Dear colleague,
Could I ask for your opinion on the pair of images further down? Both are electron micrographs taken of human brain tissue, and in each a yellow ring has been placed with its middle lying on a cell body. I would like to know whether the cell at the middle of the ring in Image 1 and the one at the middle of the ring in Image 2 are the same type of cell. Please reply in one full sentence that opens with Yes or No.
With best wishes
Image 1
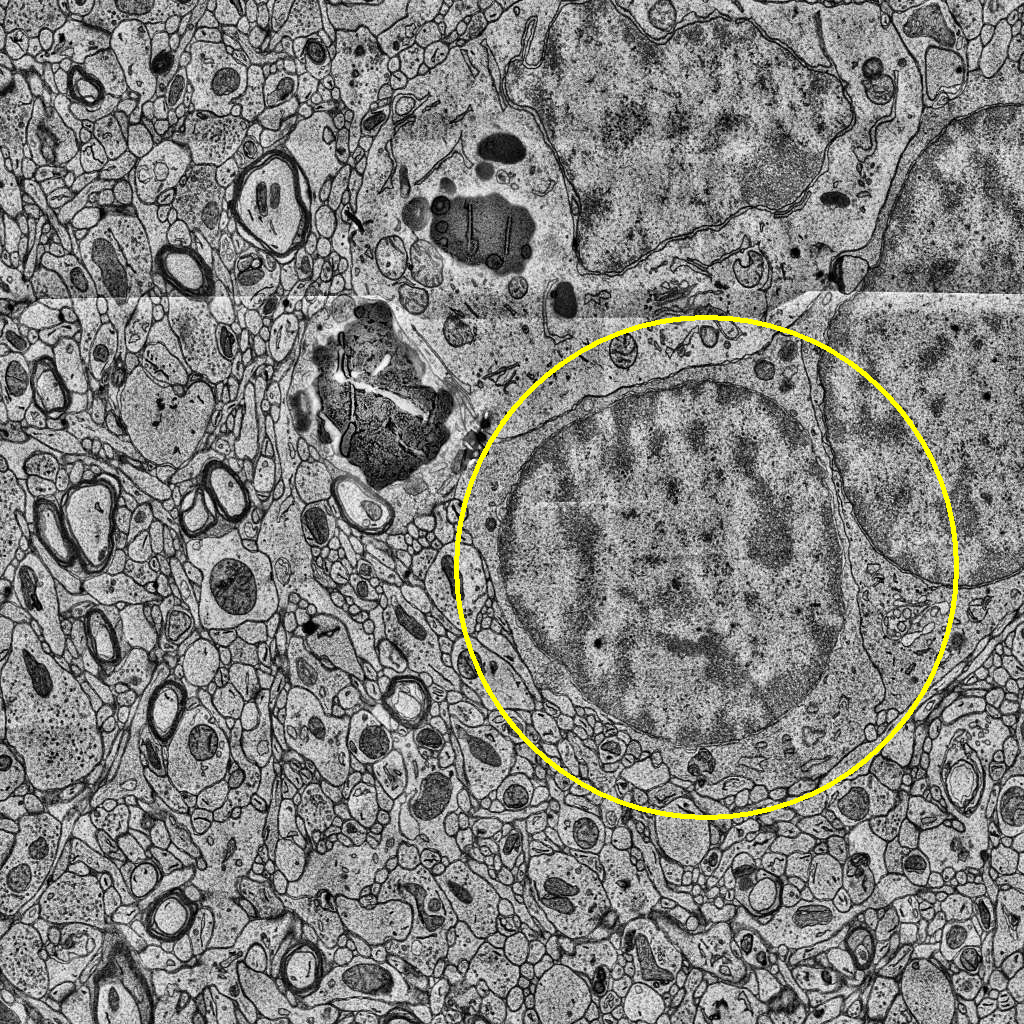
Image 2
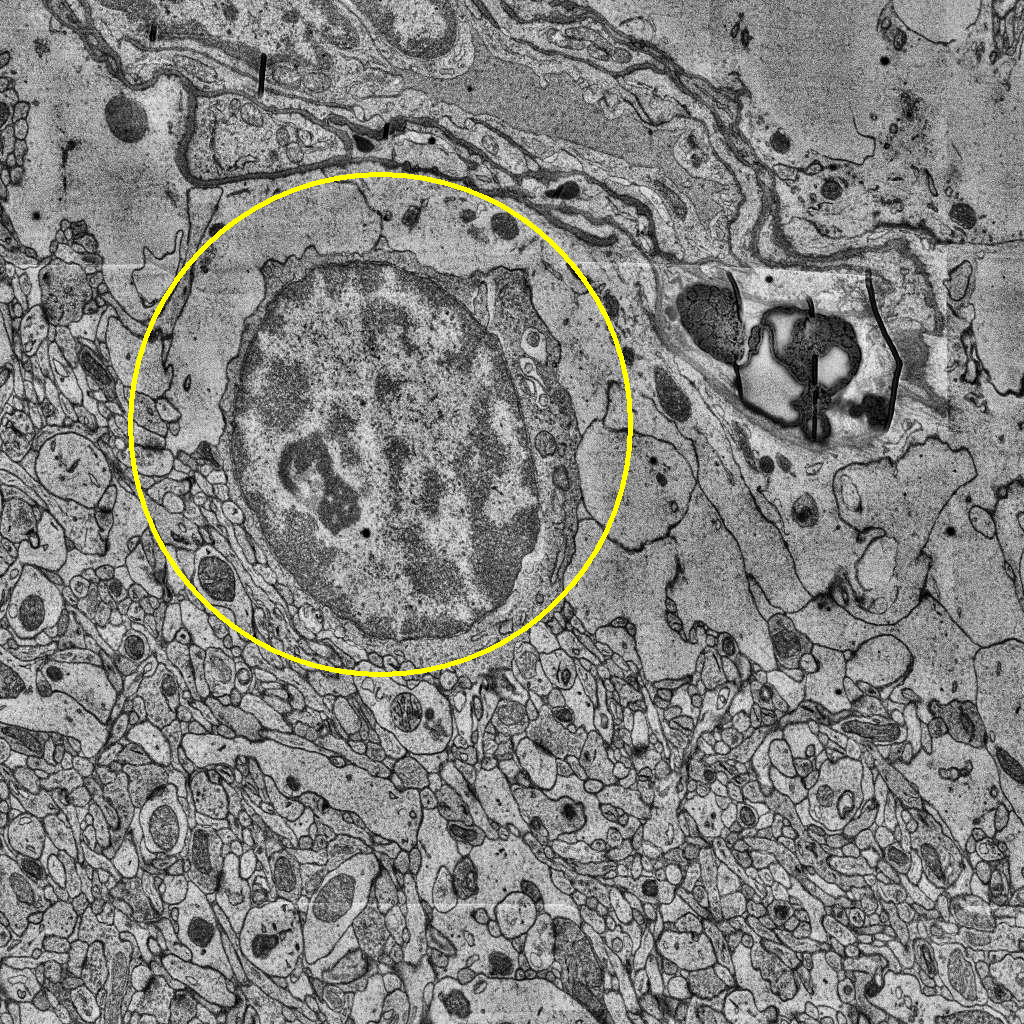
Yes, the cells at the ring centres in Image 1 and Image 2 are of one type.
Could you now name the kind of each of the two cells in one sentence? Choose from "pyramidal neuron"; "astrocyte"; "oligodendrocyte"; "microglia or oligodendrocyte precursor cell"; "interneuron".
Both cells are the same kind, each one being an oligodendrocyte.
